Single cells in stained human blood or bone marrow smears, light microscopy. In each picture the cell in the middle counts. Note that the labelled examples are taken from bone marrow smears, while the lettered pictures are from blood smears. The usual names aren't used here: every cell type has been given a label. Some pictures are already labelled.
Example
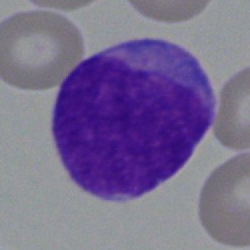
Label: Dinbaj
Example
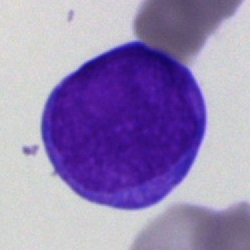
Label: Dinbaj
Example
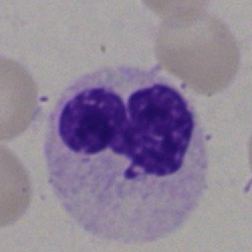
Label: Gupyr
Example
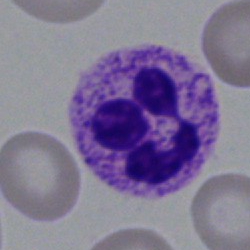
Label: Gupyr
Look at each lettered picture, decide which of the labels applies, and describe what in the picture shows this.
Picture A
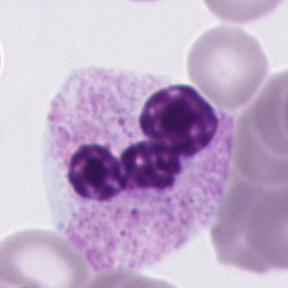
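Gupyr. The nucleus is divided into three lobes joined in a chain.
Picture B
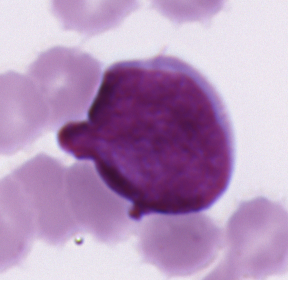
Dinbaj. The cytoplasm is only a thin rim, widest along the upper right edge.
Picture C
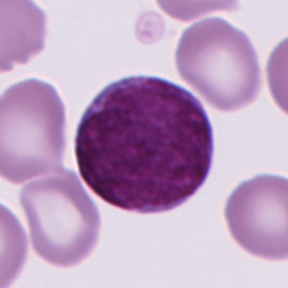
Dinbaj. Only a very thin rim of cytoplasm shows at the cell's edge.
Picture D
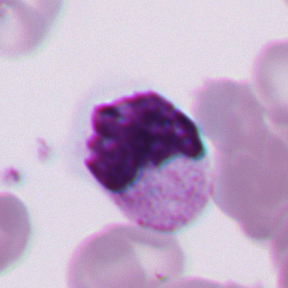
Gupyr. The cytoplasm is pale pinkish rather than blue.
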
